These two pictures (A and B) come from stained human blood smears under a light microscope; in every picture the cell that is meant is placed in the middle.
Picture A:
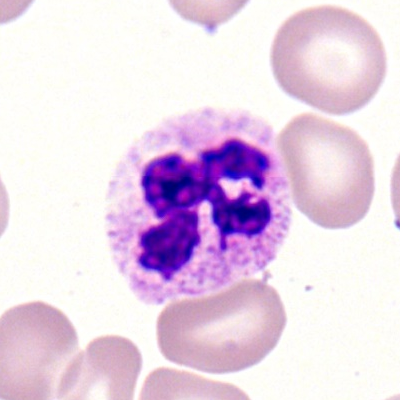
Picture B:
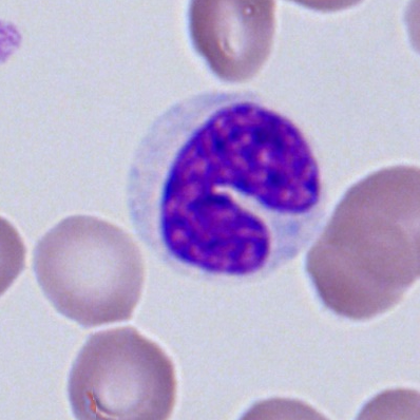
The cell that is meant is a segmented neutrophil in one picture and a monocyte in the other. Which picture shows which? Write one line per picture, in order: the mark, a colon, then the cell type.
A: segmented neutrophil
B: monocyte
